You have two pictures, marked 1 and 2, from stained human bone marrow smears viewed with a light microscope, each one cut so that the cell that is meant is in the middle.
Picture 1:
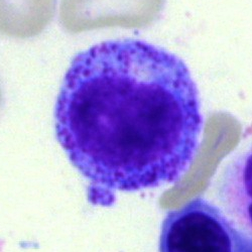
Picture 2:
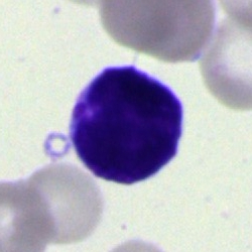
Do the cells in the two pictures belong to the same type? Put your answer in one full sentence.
No, the types are not the same, since picture 1 shows a myelocyte and picture 2 a blast.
